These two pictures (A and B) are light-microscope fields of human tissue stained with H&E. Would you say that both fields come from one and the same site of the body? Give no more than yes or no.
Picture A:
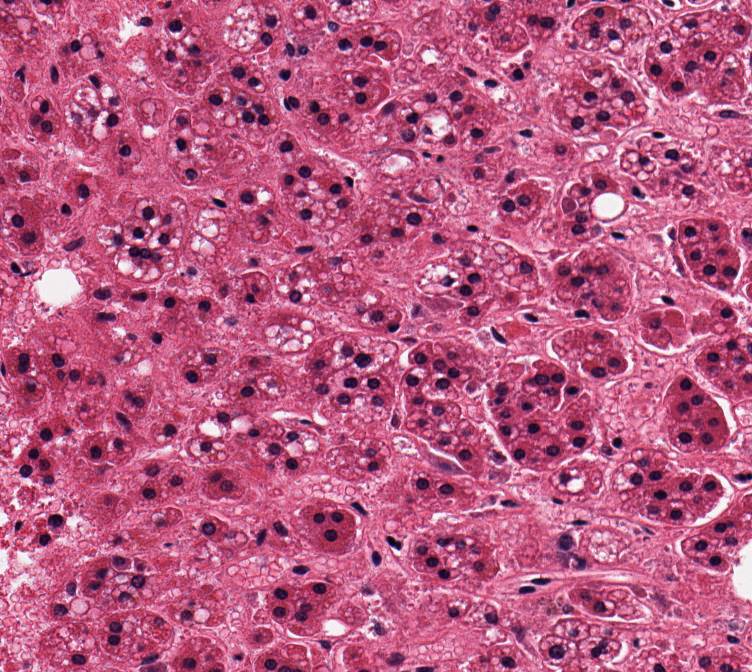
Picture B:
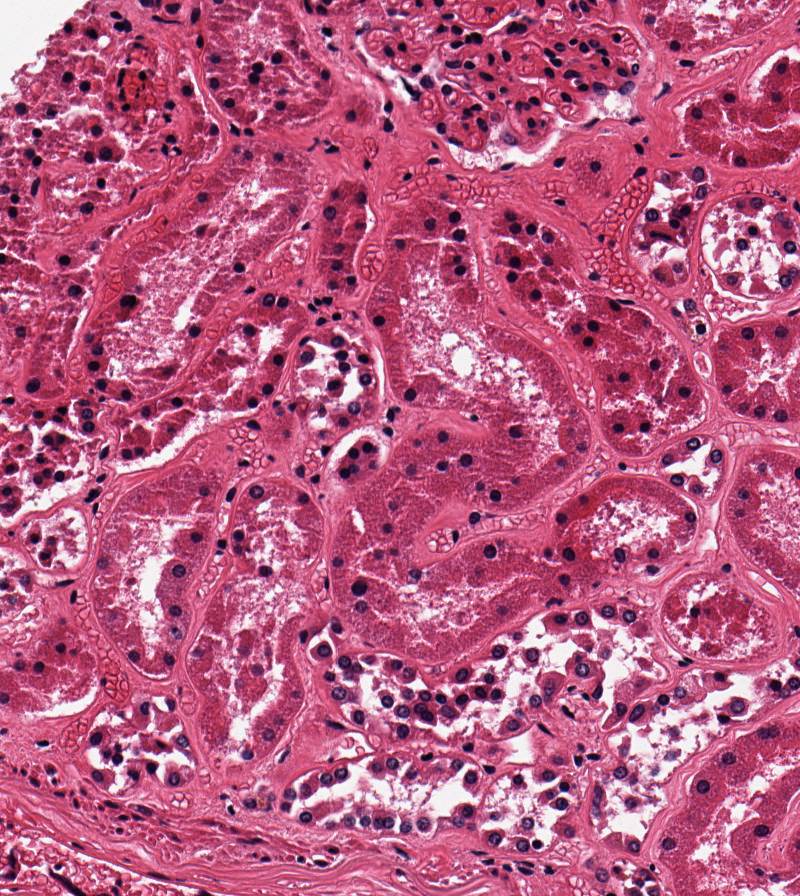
no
